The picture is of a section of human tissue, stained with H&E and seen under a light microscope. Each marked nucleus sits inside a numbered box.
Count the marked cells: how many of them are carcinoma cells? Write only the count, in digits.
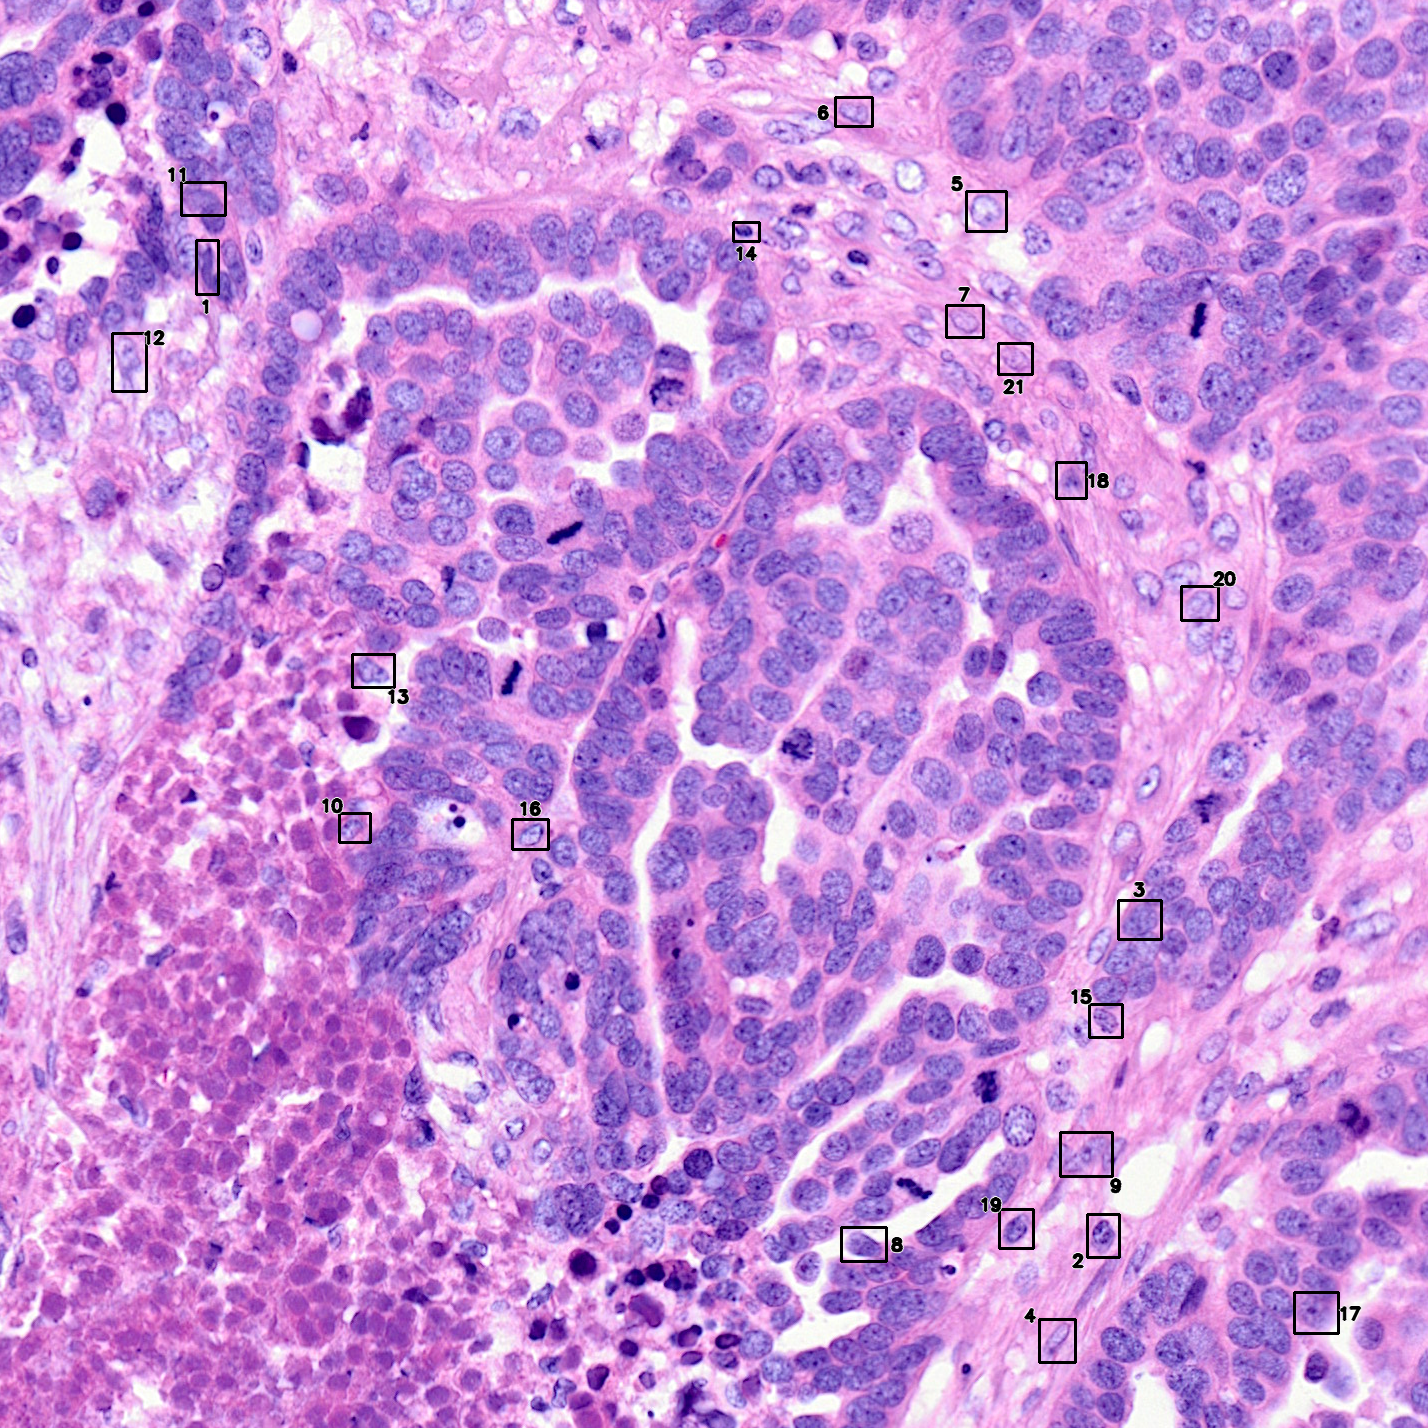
5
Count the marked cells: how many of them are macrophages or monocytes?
5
